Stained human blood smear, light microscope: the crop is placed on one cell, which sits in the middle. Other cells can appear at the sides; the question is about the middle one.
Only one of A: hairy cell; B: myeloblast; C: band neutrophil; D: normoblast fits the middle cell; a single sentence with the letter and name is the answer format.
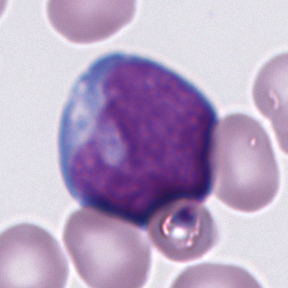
As the central cell is a myeloblast, option B is correct.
